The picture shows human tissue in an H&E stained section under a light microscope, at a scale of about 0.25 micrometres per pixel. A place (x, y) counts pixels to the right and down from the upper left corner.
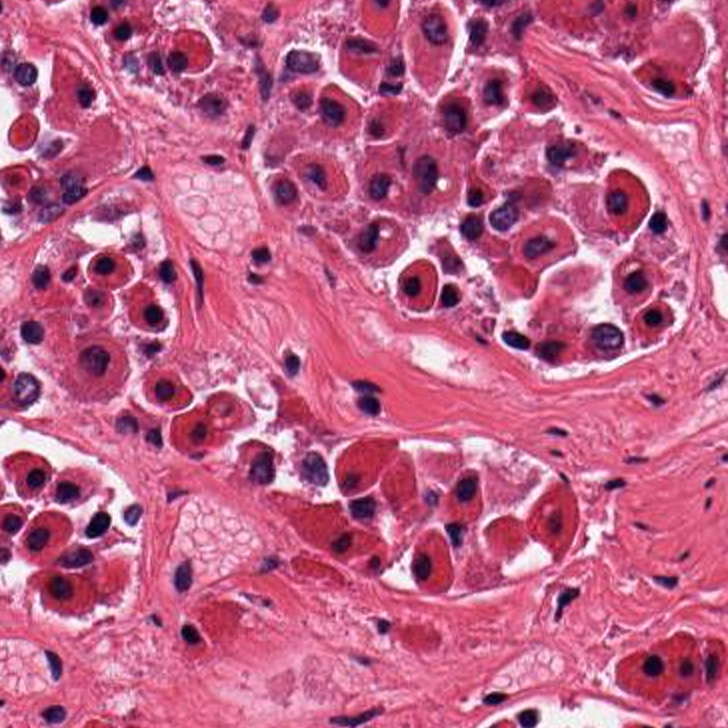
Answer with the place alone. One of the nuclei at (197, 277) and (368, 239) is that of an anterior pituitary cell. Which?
(368, 239)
